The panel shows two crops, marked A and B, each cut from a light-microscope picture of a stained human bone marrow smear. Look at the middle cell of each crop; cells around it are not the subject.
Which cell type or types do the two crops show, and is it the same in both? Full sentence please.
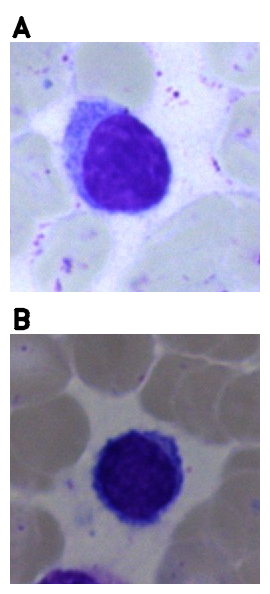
Yes, put down lymphocytes for both crops.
